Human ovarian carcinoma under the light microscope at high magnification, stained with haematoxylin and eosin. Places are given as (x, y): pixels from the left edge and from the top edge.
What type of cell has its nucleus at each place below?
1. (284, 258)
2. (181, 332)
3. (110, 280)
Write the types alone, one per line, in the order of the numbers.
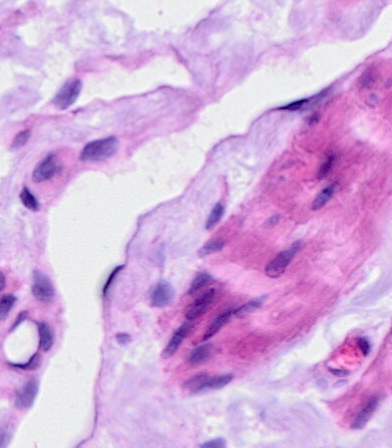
smooth muscle cell
smooth muscle cell
endothelial cell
